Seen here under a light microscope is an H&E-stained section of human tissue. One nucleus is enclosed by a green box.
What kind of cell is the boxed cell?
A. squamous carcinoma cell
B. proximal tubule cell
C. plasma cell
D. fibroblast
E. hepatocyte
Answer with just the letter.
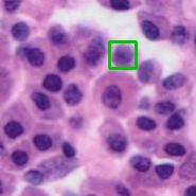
C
